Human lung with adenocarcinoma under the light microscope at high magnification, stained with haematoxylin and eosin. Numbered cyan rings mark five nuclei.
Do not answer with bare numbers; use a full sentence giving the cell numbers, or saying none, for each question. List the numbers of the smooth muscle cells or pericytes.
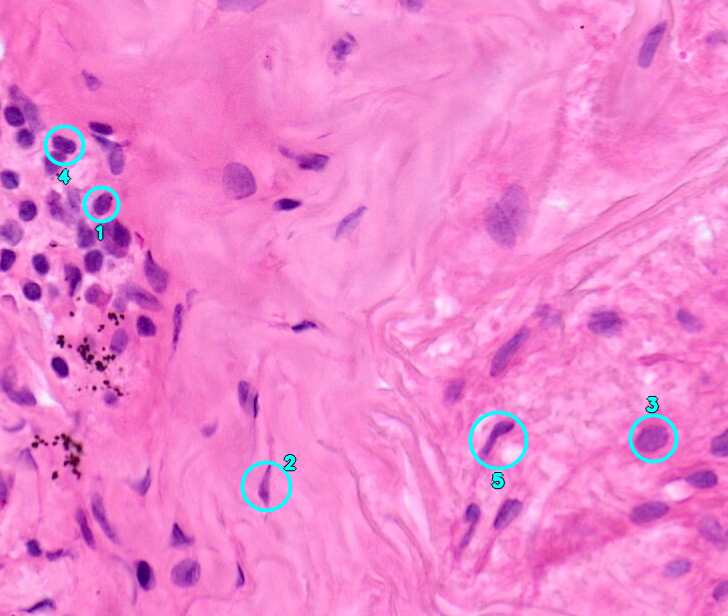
The cells given the numbers 3 and 5 are smooth muscle cells or pericytes.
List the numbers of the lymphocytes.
The identity of cells 1 and 4: they are lymphocytes.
